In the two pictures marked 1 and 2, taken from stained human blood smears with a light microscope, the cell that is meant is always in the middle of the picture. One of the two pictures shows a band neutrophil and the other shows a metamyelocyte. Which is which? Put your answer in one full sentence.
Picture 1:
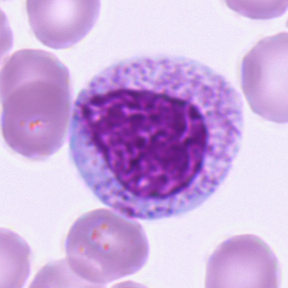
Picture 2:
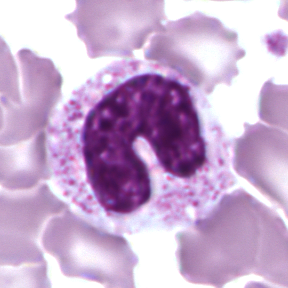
Picture 1 shows a metamyelocyte and picture 2 shows a band neutrophil.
